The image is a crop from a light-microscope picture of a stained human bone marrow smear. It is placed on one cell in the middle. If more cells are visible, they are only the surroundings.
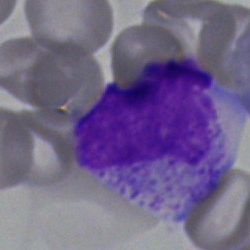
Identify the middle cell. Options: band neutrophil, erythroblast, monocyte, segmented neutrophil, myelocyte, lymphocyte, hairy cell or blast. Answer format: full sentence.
The cell the crop is centered on is a myelocyte.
